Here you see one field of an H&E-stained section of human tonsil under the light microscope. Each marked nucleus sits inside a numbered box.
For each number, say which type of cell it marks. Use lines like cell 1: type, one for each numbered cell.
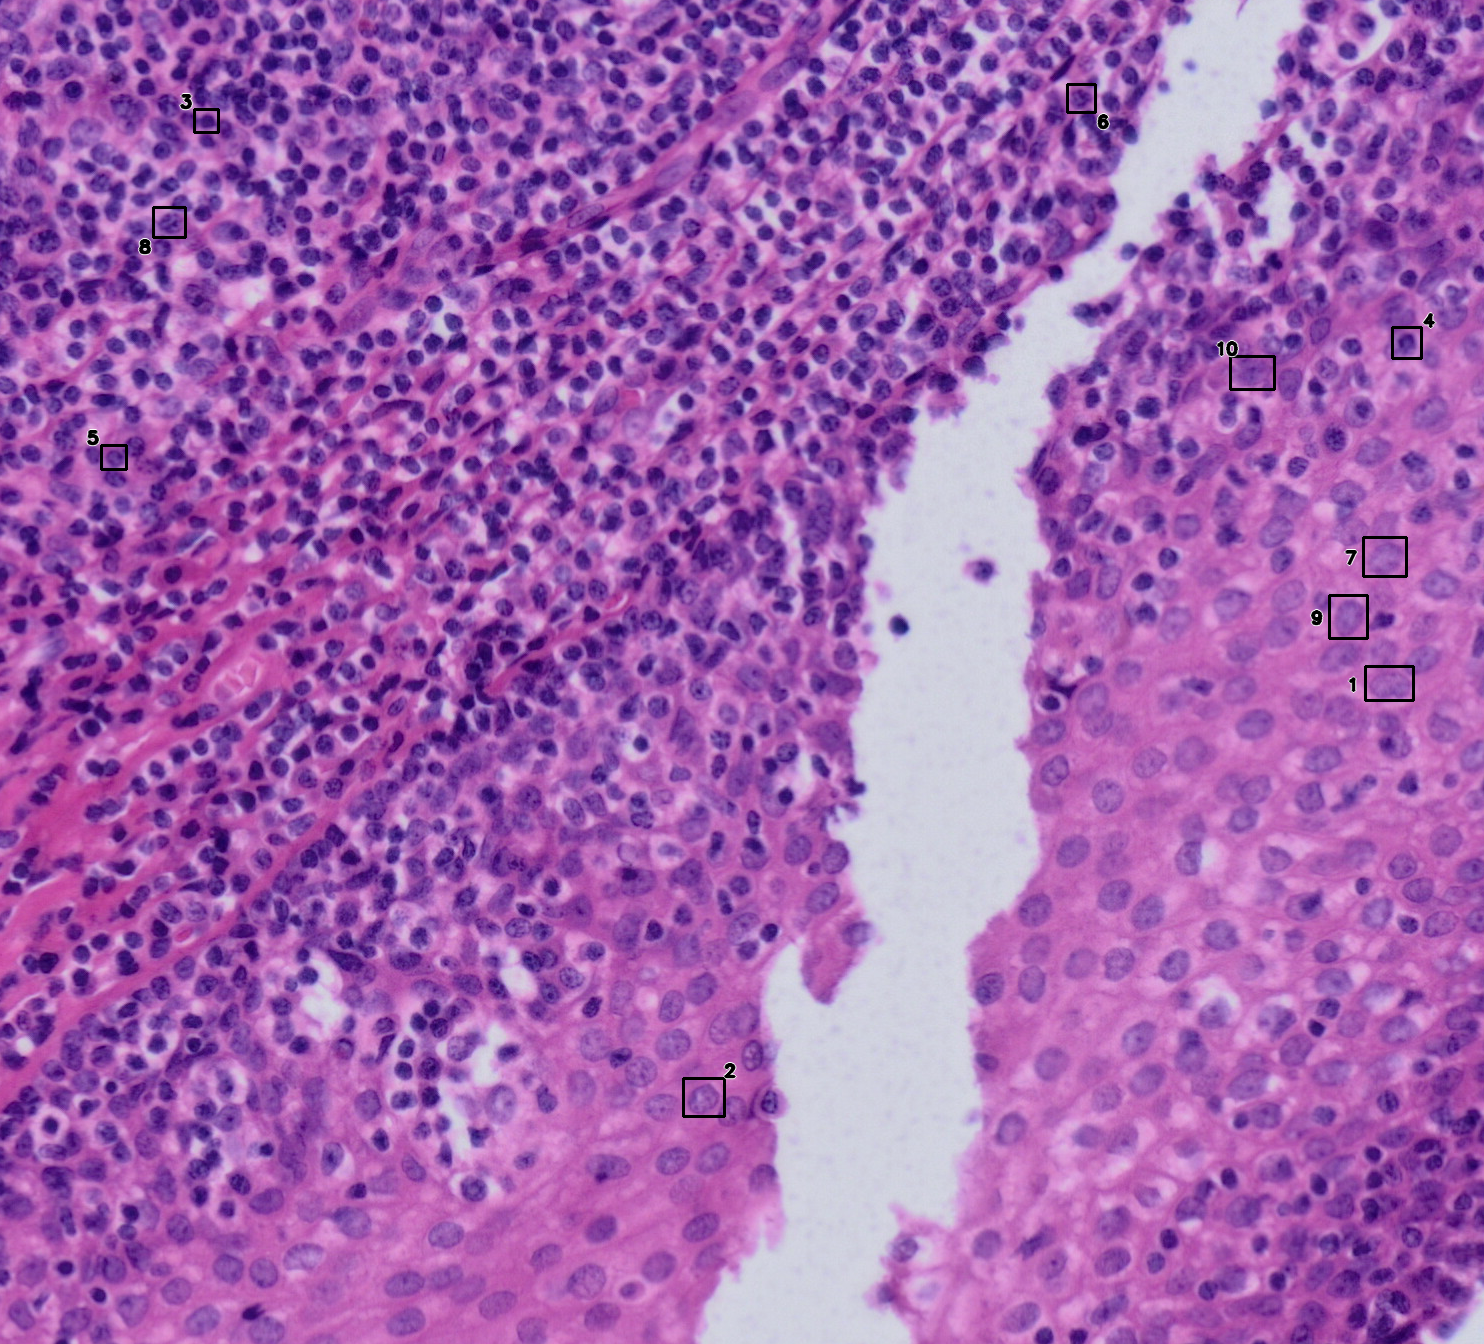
cell 1: squamous epithelial cell
cell 2: squamous epithelial cell
cell 3: small lymphocyte
cell 4: squamous epithelial cell
cell 5: plasma cell
cell 6: plasma cell
cell 7: squamous epithelial cell
cell 8: plasma cell
cell 9: squamous epithelial cell
cell 10: squamous epithelial cell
